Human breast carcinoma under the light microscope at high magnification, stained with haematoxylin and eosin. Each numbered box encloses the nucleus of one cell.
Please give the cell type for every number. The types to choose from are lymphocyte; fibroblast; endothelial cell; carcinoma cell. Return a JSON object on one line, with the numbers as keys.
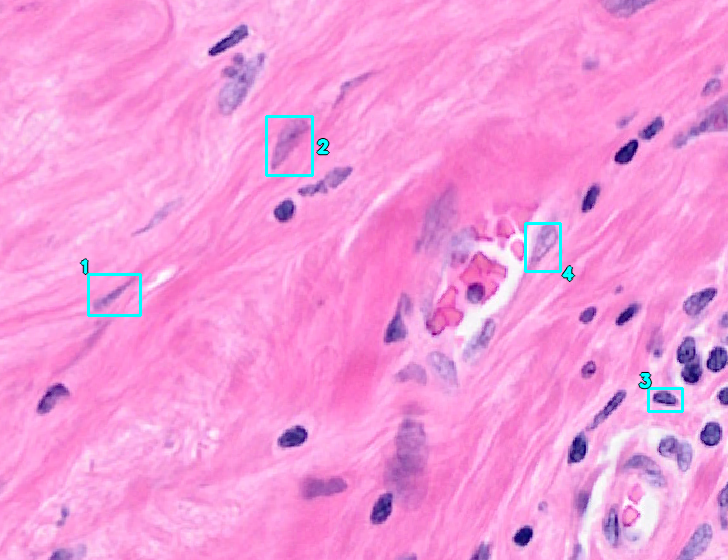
{"1": "fibroblast", "2": "fibroblast", "3": "lymphocyte", "4": "endothelial cell"}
